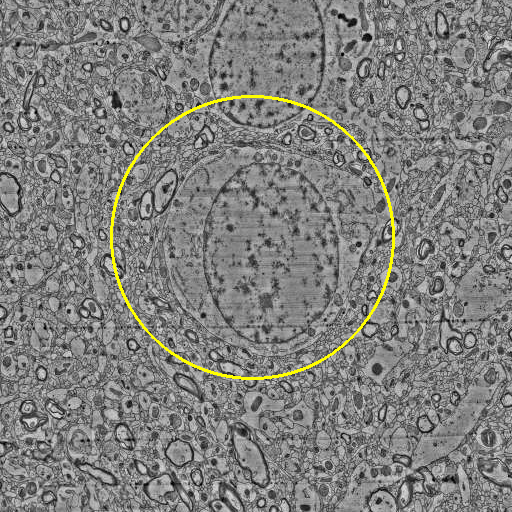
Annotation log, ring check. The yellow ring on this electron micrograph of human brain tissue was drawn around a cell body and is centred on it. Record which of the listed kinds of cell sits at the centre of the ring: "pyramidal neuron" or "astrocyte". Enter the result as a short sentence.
The cell at the centre of the ring is a pyramidal neuron.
